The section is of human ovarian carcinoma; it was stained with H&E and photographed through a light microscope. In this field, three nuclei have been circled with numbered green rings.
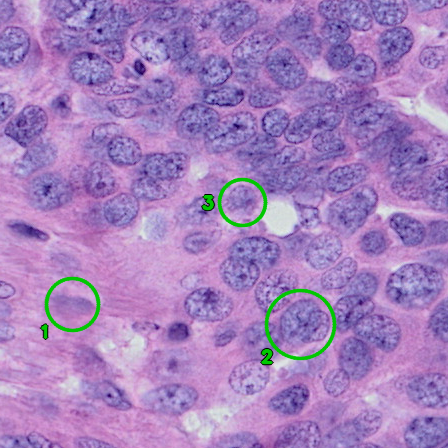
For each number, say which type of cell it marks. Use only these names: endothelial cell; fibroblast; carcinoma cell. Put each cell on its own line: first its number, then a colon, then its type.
1: fibroblast
2: carcinoma cell
3: carcinoma cell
